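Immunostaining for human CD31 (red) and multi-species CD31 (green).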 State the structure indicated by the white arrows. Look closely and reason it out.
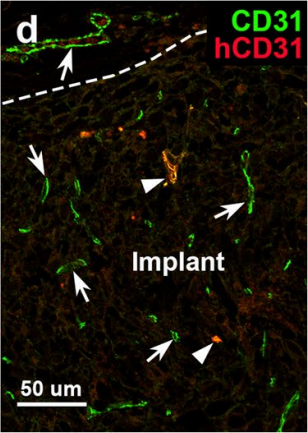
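The arrowed structures are thin elongated profiles stained only green. They are scattered through the tissue. The answer: host-derived vessels.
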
